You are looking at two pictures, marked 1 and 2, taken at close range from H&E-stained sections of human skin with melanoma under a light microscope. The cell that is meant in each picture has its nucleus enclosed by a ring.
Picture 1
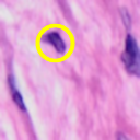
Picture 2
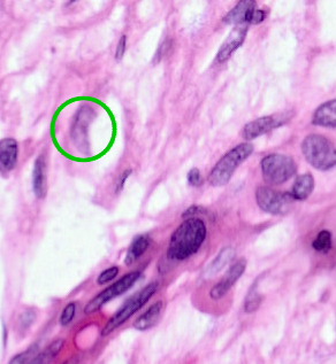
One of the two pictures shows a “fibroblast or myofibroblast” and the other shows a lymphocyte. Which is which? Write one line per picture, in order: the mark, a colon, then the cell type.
1: lymphocyte
2: fibroblast or myofibroblast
